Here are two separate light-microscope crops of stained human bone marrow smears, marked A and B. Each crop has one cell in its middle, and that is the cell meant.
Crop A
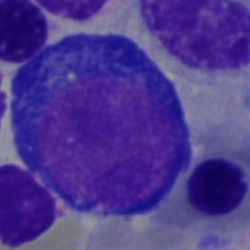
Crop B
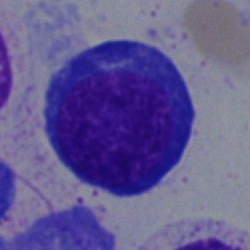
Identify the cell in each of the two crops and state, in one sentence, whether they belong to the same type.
Yes, as shown in both crops, the central cells are proerythroblasts.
